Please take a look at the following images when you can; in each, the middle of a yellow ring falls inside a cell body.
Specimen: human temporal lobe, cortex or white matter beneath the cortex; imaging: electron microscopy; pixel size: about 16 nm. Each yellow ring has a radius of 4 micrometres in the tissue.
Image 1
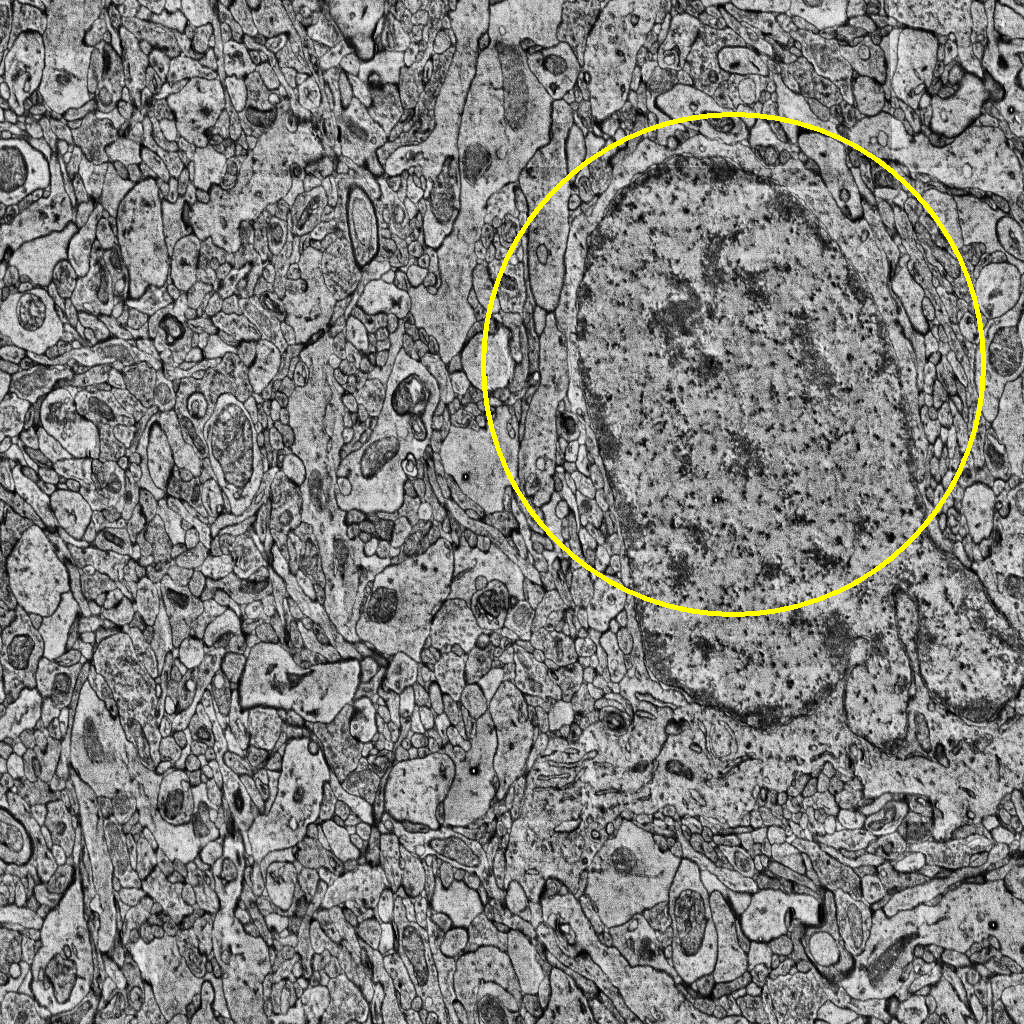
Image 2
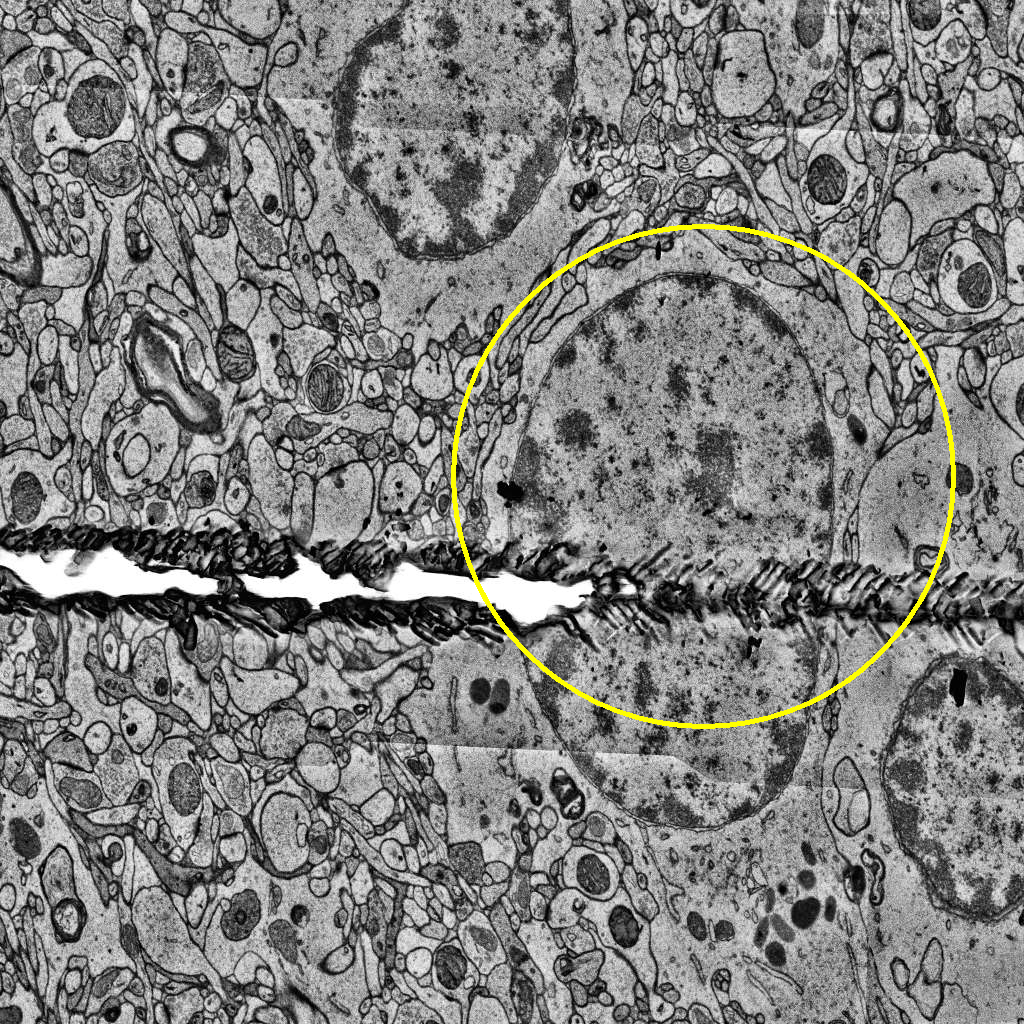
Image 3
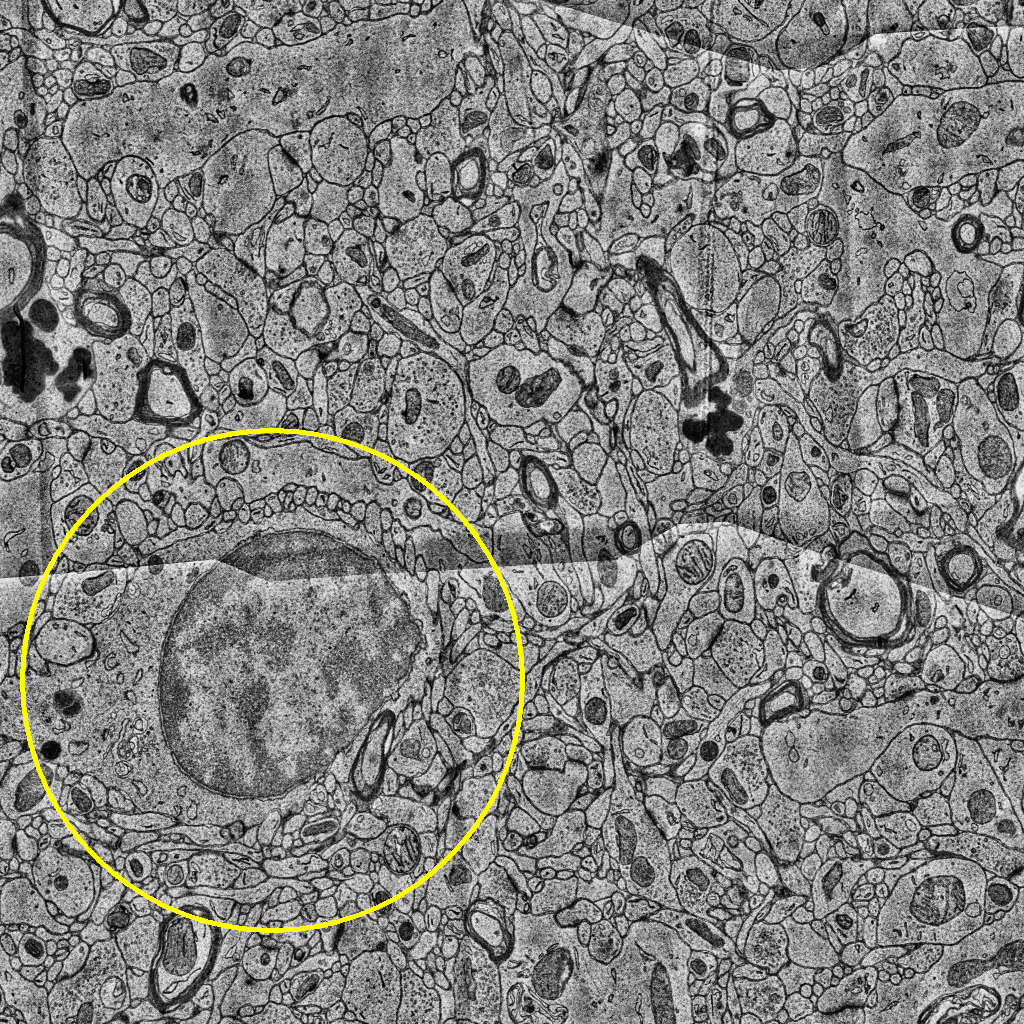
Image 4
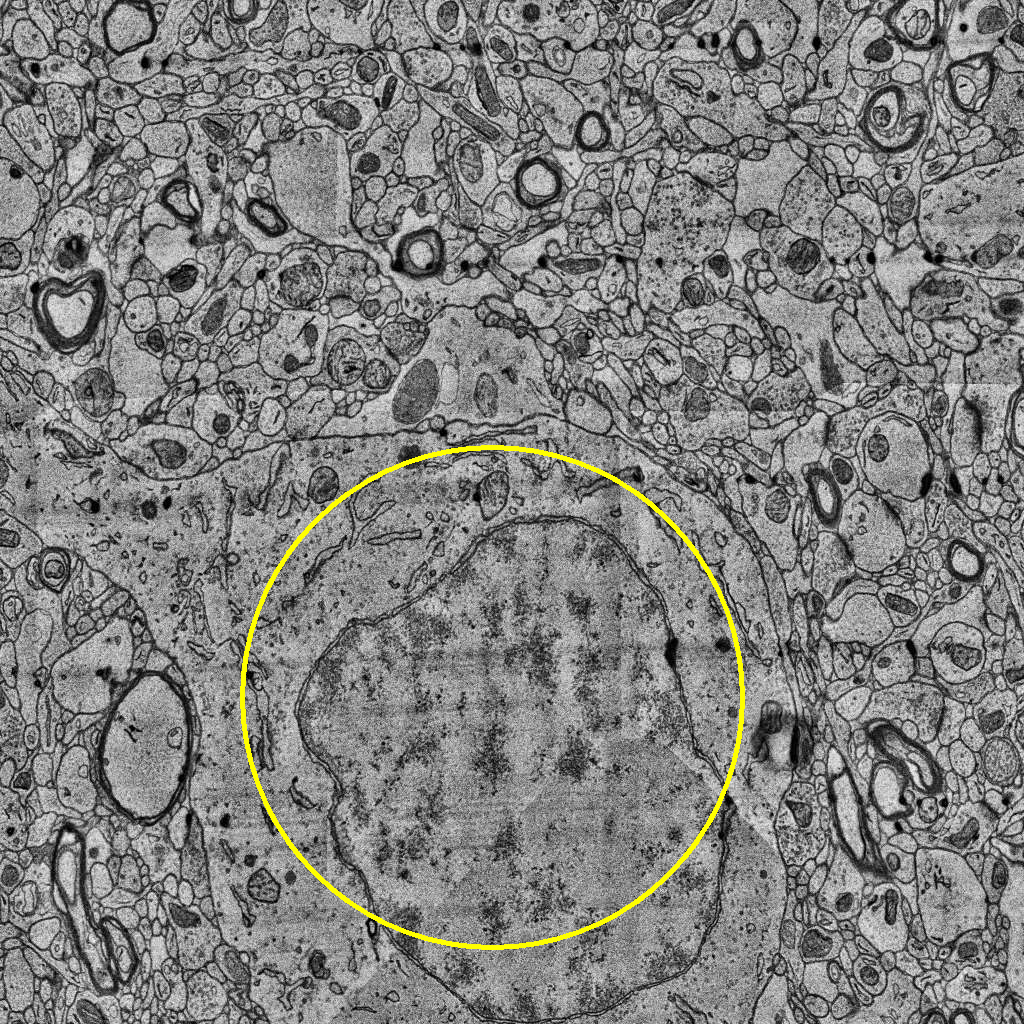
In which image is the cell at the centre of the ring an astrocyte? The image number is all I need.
2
